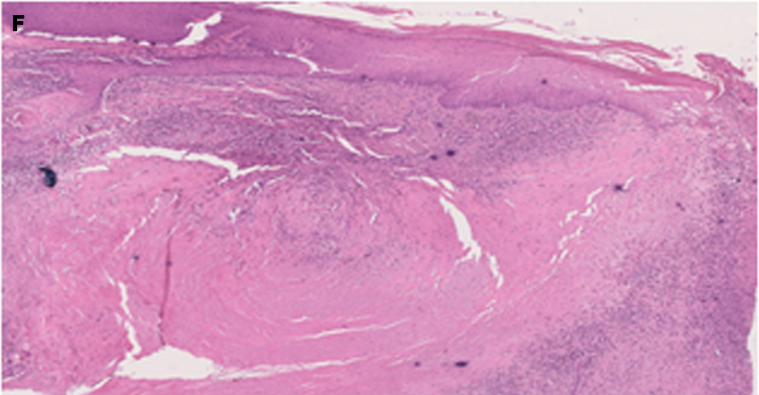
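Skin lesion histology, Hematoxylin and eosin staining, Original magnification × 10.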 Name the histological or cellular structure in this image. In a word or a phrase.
Necrotizing granuloma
